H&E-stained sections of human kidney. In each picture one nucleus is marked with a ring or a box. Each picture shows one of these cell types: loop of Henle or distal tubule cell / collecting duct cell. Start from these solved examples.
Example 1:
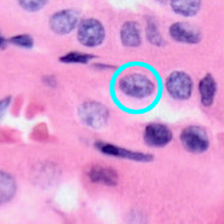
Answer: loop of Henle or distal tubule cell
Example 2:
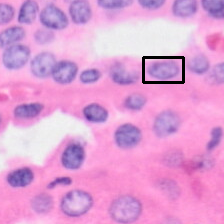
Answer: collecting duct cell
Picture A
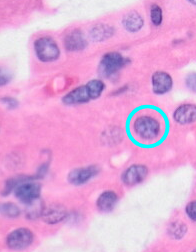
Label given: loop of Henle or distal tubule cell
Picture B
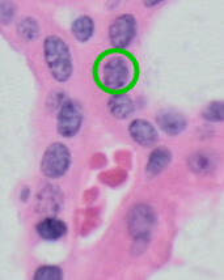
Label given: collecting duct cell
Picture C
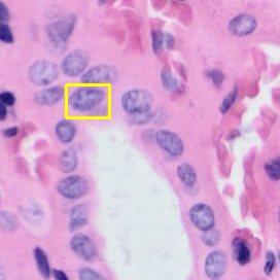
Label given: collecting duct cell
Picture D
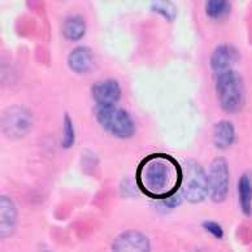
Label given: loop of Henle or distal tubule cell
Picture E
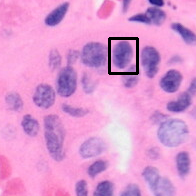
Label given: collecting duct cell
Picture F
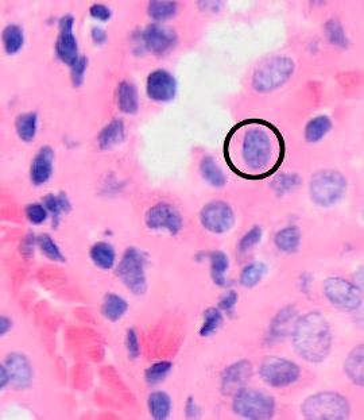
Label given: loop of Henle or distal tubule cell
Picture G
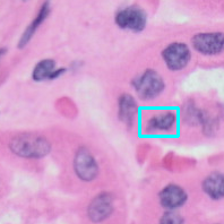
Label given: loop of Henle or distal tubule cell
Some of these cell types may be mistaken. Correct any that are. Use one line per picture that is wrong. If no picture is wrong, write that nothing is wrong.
Wrong: D (loop of Henle or distal tubule cell); correct: collecting duct cell
Wrong: G (loop of Henle or distal tubule cell); correct: collecting duct cell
